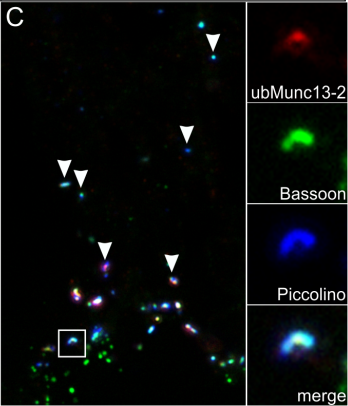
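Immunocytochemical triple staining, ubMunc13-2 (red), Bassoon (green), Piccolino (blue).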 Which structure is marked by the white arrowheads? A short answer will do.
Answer: ectopic synaptic sites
